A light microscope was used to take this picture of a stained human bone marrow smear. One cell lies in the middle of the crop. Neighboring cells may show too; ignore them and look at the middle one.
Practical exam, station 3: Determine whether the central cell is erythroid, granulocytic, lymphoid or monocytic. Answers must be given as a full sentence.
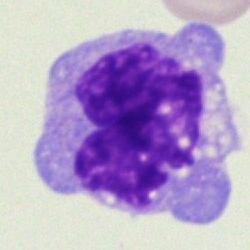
The central cell's lineage is monocytic.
